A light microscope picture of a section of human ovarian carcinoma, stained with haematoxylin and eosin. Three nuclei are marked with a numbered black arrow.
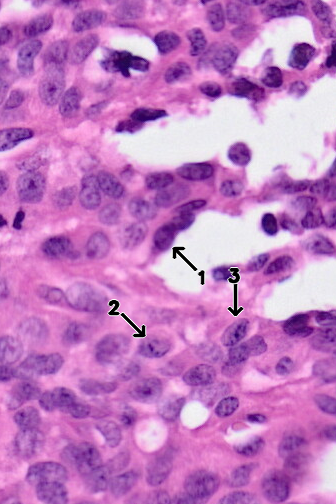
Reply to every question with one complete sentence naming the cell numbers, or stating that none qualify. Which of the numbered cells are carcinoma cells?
Among the numbered cells, the one that is a carcinoma cell is cell 1 alone.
